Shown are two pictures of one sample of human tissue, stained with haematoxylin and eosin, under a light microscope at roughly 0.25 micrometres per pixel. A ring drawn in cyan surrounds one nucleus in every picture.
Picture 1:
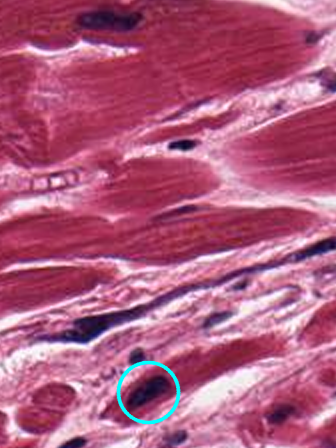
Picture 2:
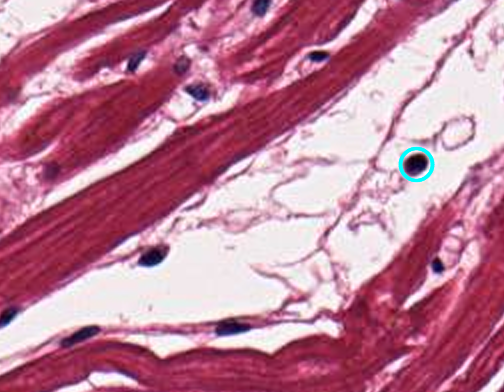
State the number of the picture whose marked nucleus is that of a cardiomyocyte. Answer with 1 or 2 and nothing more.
1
